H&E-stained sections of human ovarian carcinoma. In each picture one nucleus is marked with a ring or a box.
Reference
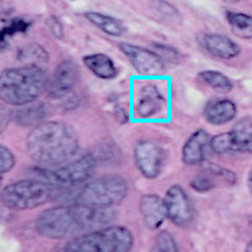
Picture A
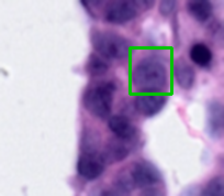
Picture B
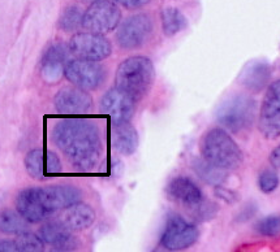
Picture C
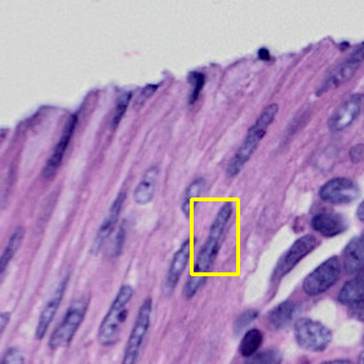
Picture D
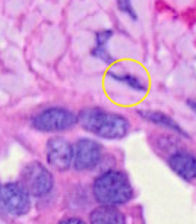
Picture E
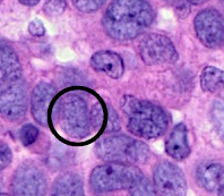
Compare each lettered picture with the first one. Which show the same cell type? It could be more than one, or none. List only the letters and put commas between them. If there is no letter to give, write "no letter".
C, D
